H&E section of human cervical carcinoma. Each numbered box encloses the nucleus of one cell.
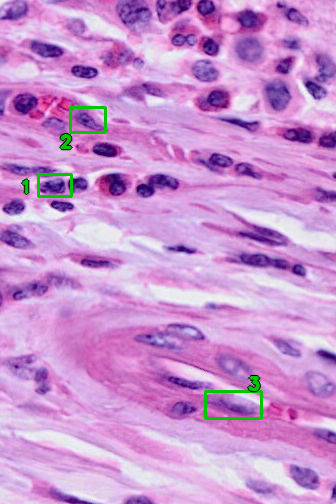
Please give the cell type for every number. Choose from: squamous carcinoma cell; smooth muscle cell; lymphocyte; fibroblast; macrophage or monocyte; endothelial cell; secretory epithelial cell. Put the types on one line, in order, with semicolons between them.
lymphocyte; endothelial cell; endothelial cell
